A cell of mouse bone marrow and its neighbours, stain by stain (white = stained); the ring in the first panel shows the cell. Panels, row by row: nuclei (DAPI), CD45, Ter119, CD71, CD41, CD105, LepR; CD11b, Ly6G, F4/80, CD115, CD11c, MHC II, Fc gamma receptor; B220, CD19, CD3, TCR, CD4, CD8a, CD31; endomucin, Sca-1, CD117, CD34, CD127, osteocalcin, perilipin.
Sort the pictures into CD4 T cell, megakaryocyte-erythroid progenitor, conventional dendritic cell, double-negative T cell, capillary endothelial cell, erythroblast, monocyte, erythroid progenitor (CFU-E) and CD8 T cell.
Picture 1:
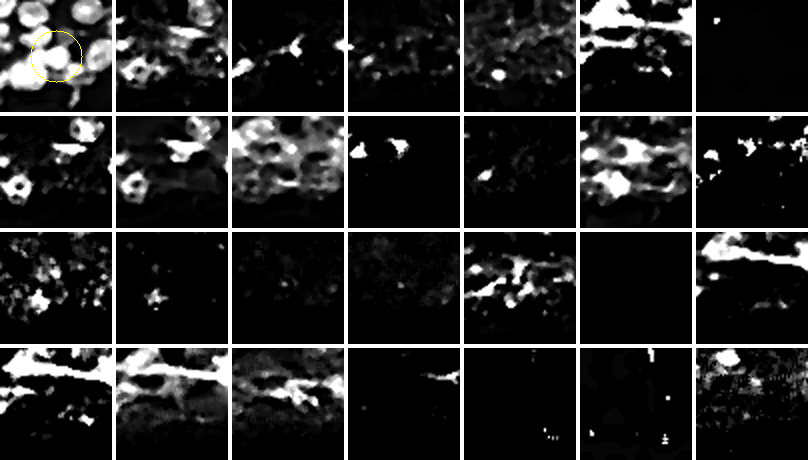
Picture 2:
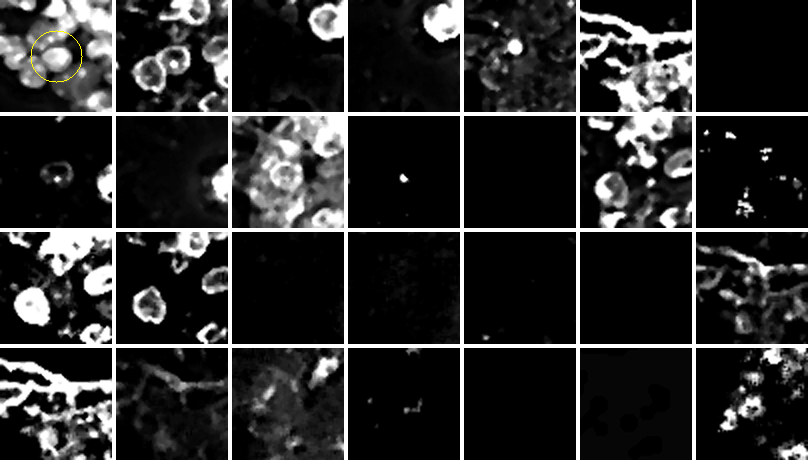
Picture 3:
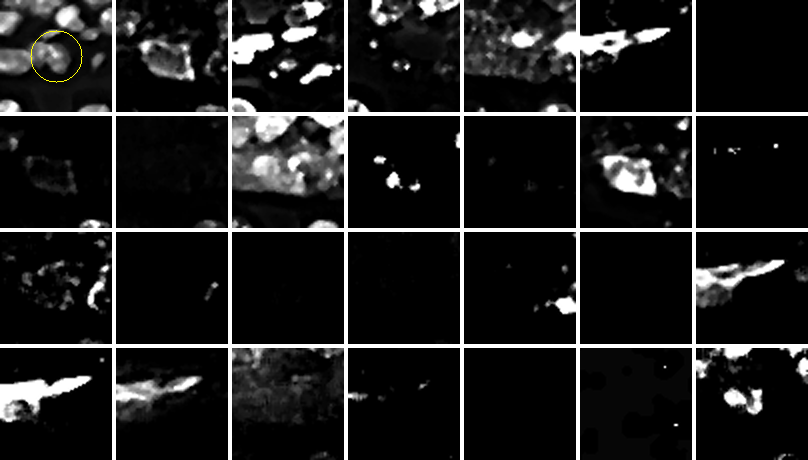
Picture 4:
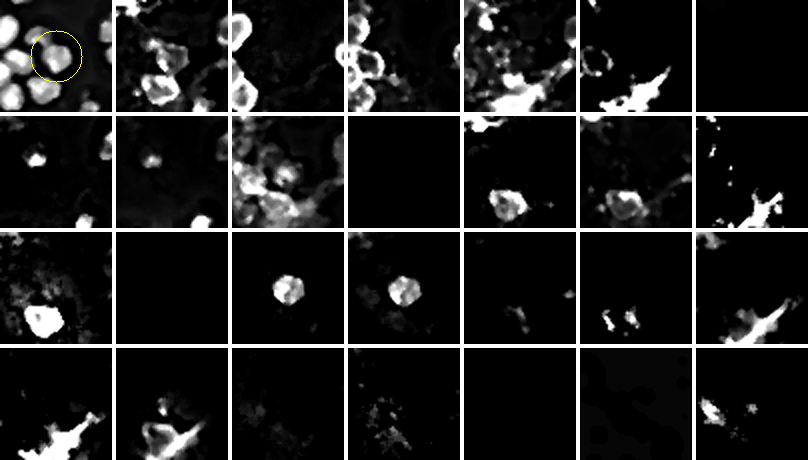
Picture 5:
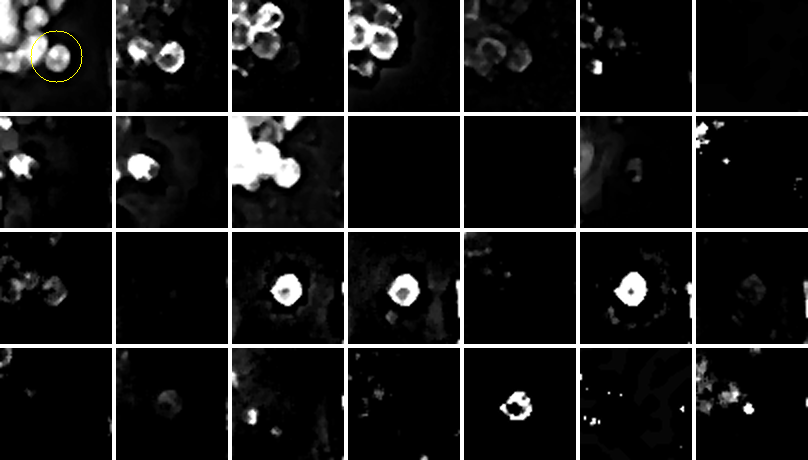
Megakaryocyte-erythroid progenitors: 1
Monocytes: 2
Capillary endothelial cells: 3
Double-negative T cells: 4
CD8 T cells: 5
